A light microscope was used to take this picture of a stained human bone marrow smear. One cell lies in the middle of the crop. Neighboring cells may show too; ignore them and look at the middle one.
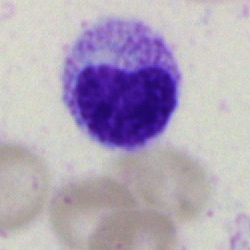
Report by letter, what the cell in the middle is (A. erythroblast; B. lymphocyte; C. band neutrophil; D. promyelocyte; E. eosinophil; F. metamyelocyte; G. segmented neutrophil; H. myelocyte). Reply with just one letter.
F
